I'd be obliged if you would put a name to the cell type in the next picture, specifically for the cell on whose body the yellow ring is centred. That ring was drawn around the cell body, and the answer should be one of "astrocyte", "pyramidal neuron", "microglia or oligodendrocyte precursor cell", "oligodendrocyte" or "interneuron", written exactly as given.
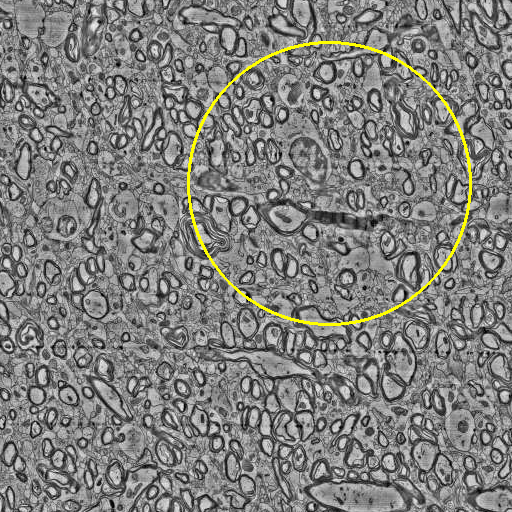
microglia or oligodendrocyte precursor cell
